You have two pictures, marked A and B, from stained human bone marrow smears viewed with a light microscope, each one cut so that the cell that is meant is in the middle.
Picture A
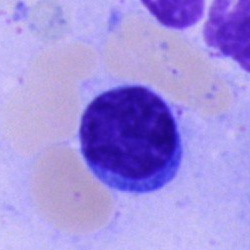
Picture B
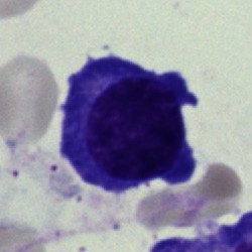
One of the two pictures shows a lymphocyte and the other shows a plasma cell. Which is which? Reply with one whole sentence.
The cell in picture A is a lymphocyte, and the one in picture B is a plasma cell.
